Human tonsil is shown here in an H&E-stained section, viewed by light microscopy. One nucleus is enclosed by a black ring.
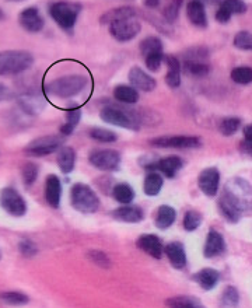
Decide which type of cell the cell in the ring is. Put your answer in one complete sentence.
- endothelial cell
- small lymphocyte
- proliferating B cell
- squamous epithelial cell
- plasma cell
Cytologically, the cell in the ring is to be regarded as an endothelial cell.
